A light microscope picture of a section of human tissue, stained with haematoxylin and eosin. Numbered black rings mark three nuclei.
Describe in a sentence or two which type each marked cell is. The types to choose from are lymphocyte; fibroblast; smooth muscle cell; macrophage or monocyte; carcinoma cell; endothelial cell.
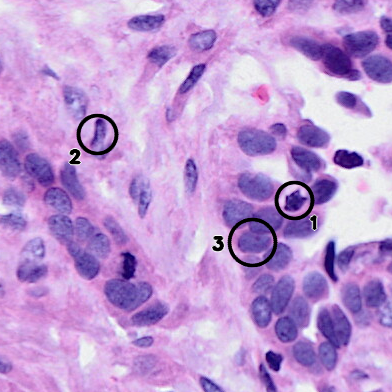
Cell 1 is a lymphocyte. Cell 2 is a fibroblast. Cell 3 is a carcinoma cell.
